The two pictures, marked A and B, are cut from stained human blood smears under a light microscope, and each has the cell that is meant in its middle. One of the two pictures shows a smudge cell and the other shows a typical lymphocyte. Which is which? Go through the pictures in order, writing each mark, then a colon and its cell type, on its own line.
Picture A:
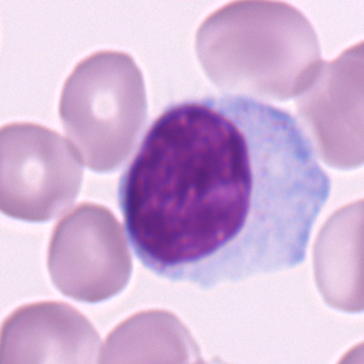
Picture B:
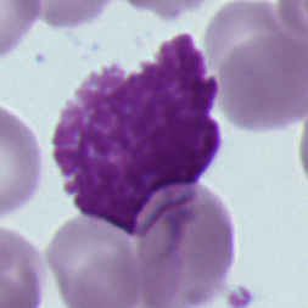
A: typical lymphocyte
B: smudge cell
